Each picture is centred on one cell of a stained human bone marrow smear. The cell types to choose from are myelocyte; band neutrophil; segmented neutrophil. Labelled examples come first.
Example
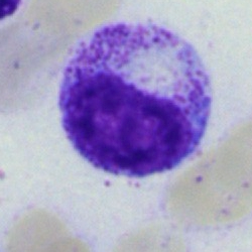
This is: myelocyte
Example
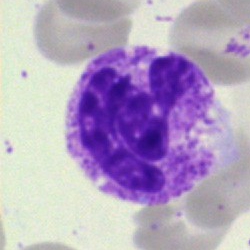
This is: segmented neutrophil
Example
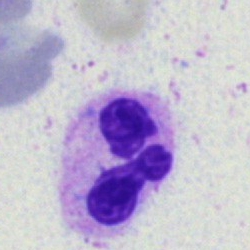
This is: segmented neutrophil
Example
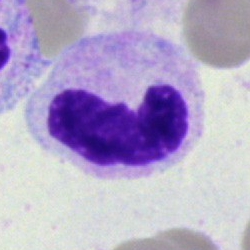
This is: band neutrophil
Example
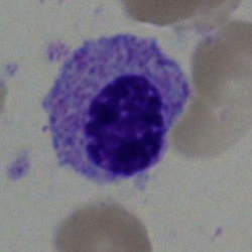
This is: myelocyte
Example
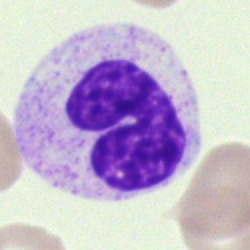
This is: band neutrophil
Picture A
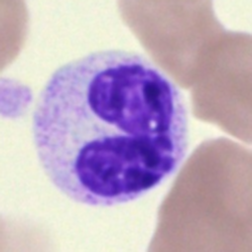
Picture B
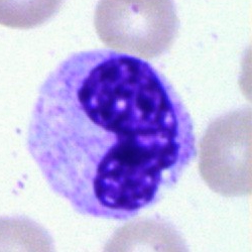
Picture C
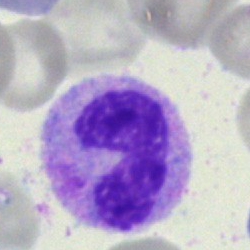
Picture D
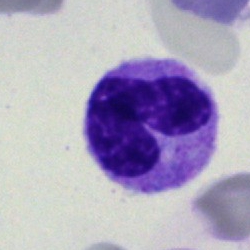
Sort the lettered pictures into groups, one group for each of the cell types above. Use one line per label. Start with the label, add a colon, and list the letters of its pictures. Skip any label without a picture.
band neutrophil: A, B, C, D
